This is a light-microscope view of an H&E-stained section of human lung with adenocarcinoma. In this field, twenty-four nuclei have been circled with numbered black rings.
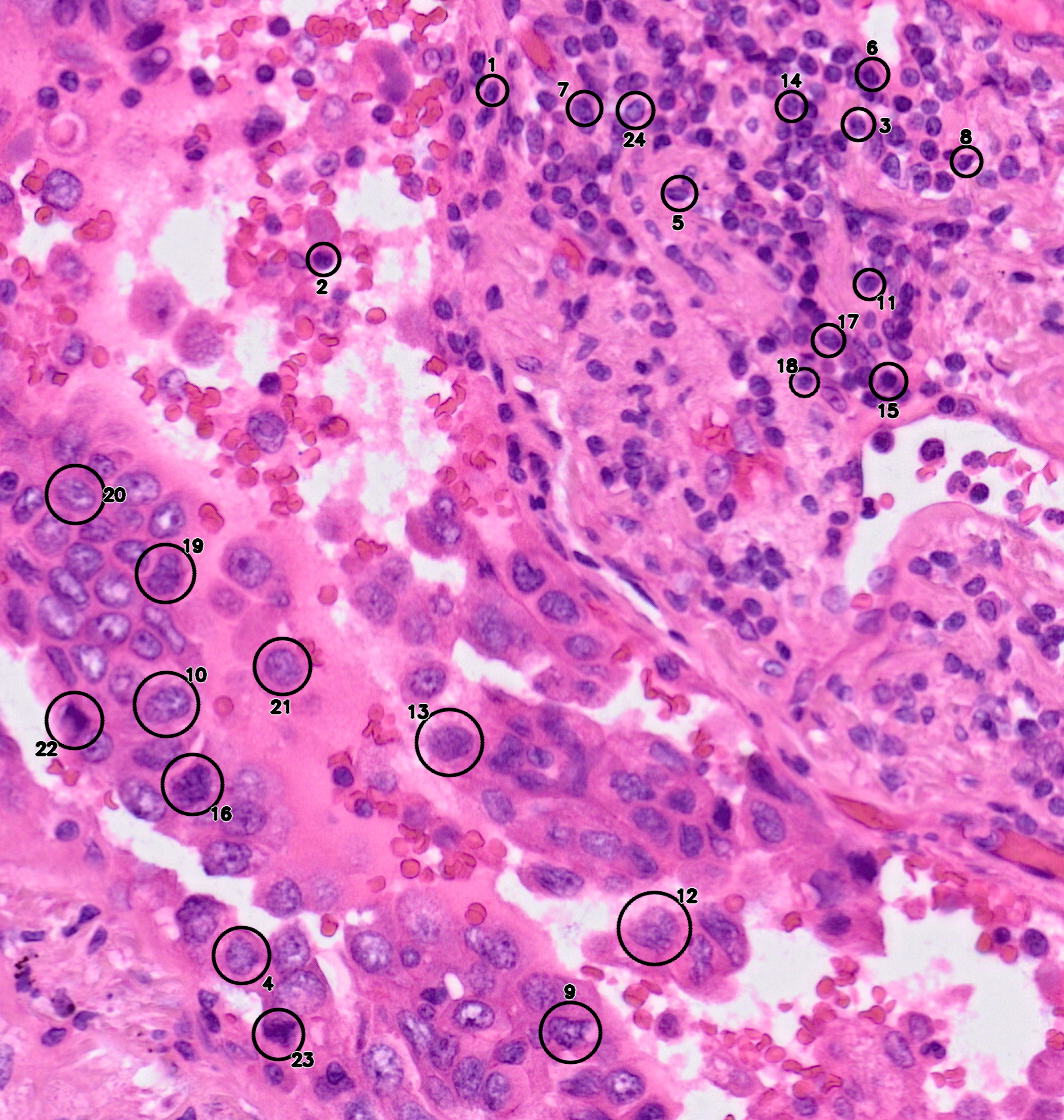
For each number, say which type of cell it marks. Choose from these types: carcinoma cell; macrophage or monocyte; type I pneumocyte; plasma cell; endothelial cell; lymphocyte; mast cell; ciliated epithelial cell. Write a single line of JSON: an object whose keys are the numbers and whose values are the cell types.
{"1": "lymphocyte", "2": "lymphocyte", "3": "lymphocyte", "4": "carcinoma cell", "5": "lymphocyte", "6": "lymphocyte", "7": "lymphocyte", "8": "lymphocyte", "9": "carcinoma cell", "10": "carcinoma cell", "11": "lymphocyte", "12": "carcinoma cell", "13": "carcinoma cell", "14": "lymphocyte", "15": "lymphocyte", "16": "carcinoma cell", "17": "lymphocyte", "18": "lymphocyte", "19": "carcinoma cell", "20": "carcinoma cell", "21": "carcinoma cell", "22": "carcinoma cell", "23": "carcinoma cell", "24": "lymphocyte"}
